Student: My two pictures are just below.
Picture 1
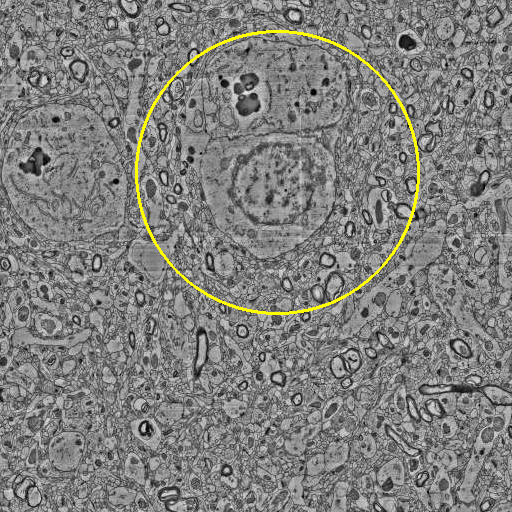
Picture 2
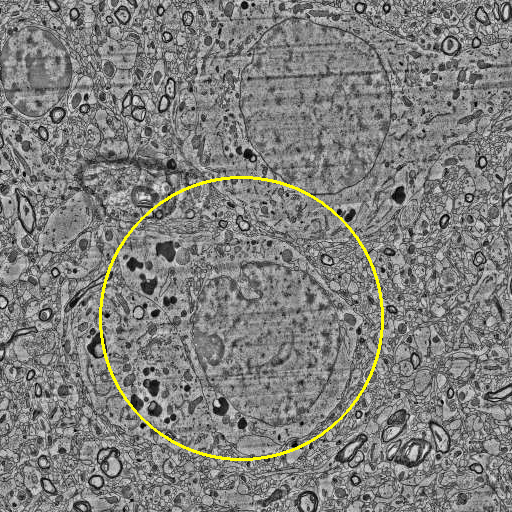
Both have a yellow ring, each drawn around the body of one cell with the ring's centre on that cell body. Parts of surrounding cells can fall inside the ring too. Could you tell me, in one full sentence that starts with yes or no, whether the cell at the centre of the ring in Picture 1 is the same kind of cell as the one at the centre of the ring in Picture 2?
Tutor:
Yes, the two cells are of the same kind.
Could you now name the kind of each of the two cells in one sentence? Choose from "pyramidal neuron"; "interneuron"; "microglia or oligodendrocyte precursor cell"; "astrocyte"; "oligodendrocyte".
Each of the two pictures has an interneuron at the ring centre.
